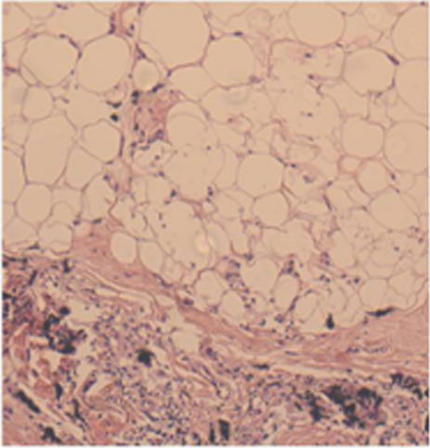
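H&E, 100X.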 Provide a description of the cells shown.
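In the upper part, adipocytes appear as clear cells with thin pink rims, many of them visibly smaller and more uneven in size than in ordinary fat. Below lies a band of dense pink fibrous tissue with many scattered nuclei, and irregular dark, nearly black deposits. Small clusters of nuclei also sit among the adipocytes near this boundary.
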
